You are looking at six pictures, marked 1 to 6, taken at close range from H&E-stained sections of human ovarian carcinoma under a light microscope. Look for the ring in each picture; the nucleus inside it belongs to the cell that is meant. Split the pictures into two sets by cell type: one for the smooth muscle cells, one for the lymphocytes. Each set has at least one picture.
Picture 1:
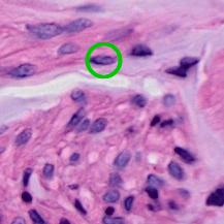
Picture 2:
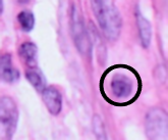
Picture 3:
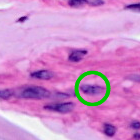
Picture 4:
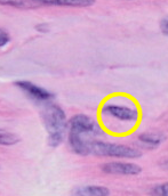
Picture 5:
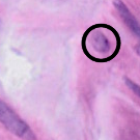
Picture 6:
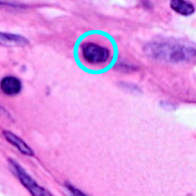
1: smooth muscle cell
2: lymphocyte
3: smooth muscle cell
4: smooth muscle cell
5: smooth muscle cell
6: lymphocyte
